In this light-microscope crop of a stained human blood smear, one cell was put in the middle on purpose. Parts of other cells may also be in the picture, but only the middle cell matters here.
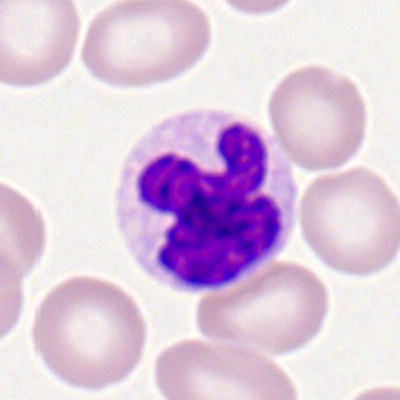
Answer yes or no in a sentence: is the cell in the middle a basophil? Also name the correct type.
No, the centrally located cell is a segmented neutrophil rather than a basophil.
